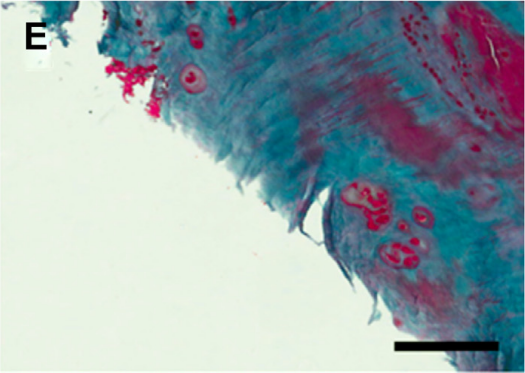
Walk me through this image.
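Fibrocartilage at a free surface with fibrillation. The blue-green matrix edge is ragged, split into fine projecting strands and flaps reaching into the empty space. Beneath the surface lie rounded lacunae containing one or several red-stained cells, some in small groups. Deeper, toward the upper right, fibres run in parallel bundles with rows of small red-stained cells between them, and a diffuse reddish area lies within the matrix. Red-stained debris sits at the upper left margin.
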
